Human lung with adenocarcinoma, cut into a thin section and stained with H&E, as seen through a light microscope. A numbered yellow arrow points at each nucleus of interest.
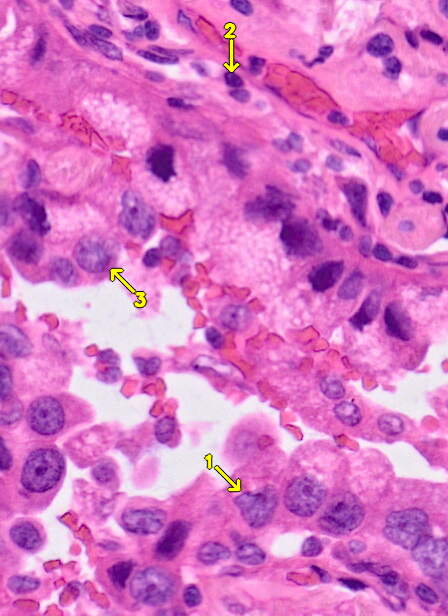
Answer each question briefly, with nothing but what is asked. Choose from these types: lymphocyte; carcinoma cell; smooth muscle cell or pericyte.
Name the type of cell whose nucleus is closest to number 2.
lymphocyte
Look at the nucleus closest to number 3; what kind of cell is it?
carcinoma cell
